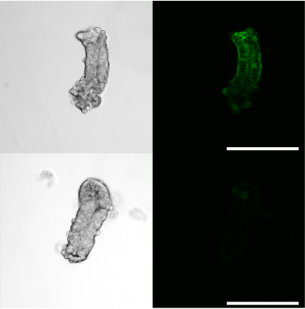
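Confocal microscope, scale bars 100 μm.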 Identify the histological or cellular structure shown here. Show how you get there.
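Elongated, tube-shaped epithelial units lie free on their own, not within surrounding tissue. One unit shows green fluorescence along its wall, the other is nearly dark.
Hence: crypts.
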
